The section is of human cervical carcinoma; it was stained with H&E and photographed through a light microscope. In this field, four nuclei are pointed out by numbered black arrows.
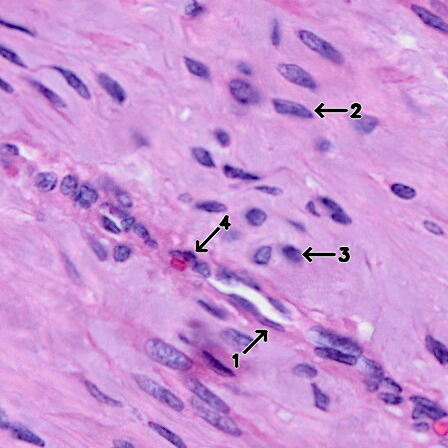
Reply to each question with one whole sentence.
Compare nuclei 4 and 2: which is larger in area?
It is nucleus 2, which covers about 4 times the area of nucleus 4.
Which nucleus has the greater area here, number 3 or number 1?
The larger nucleus is 3, at roughly 2 times the area of 1.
